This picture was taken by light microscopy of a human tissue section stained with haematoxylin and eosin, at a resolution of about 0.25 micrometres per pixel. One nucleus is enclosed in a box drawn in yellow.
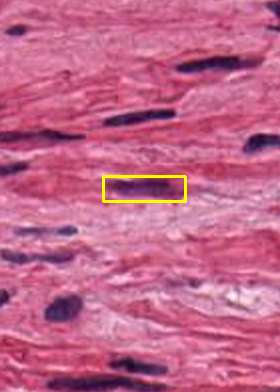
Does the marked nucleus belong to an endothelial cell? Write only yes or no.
no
